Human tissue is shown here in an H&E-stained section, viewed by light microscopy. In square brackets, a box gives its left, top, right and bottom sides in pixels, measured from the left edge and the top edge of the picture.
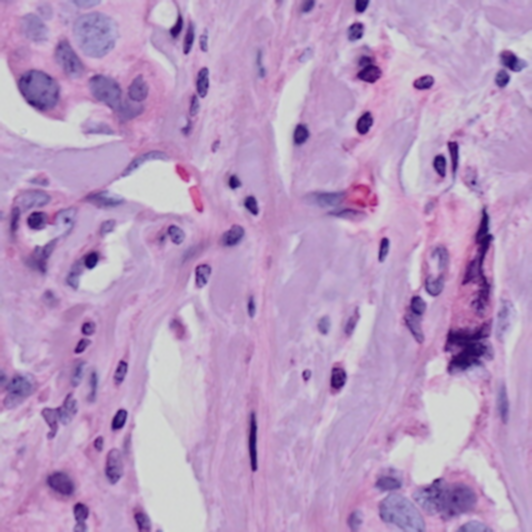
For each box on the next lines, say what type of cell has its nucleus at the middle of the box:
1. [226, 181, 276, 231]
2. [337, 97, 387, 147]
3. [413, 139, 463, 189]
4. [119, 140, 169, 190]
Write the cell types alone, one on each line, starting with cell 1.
lymphocyte
lymphocyte
lymphocyte
endothelial cell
